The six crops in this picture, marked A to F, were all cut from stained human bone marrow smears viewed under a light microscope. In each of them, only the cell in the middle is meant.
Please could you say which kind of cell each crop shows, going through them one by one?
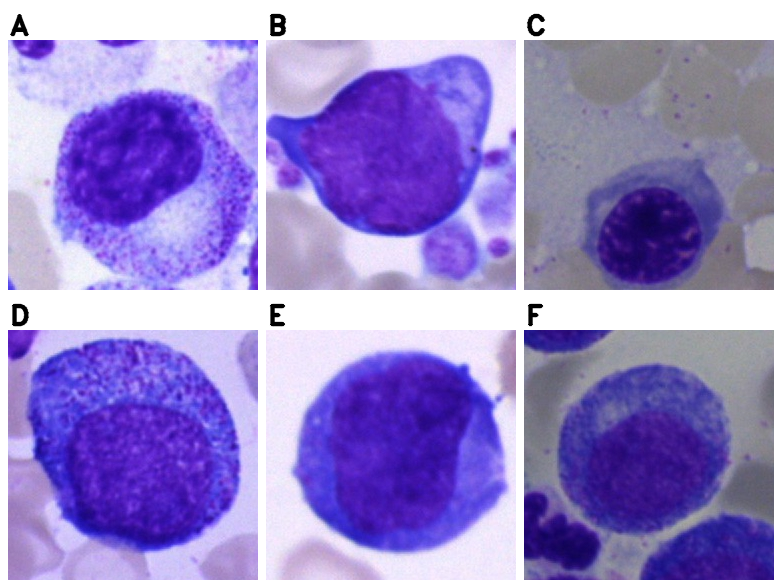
A: promyelocyte
B: blast
C: normoblast
D: promyelocyte
E: blast
F: promyelocyte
